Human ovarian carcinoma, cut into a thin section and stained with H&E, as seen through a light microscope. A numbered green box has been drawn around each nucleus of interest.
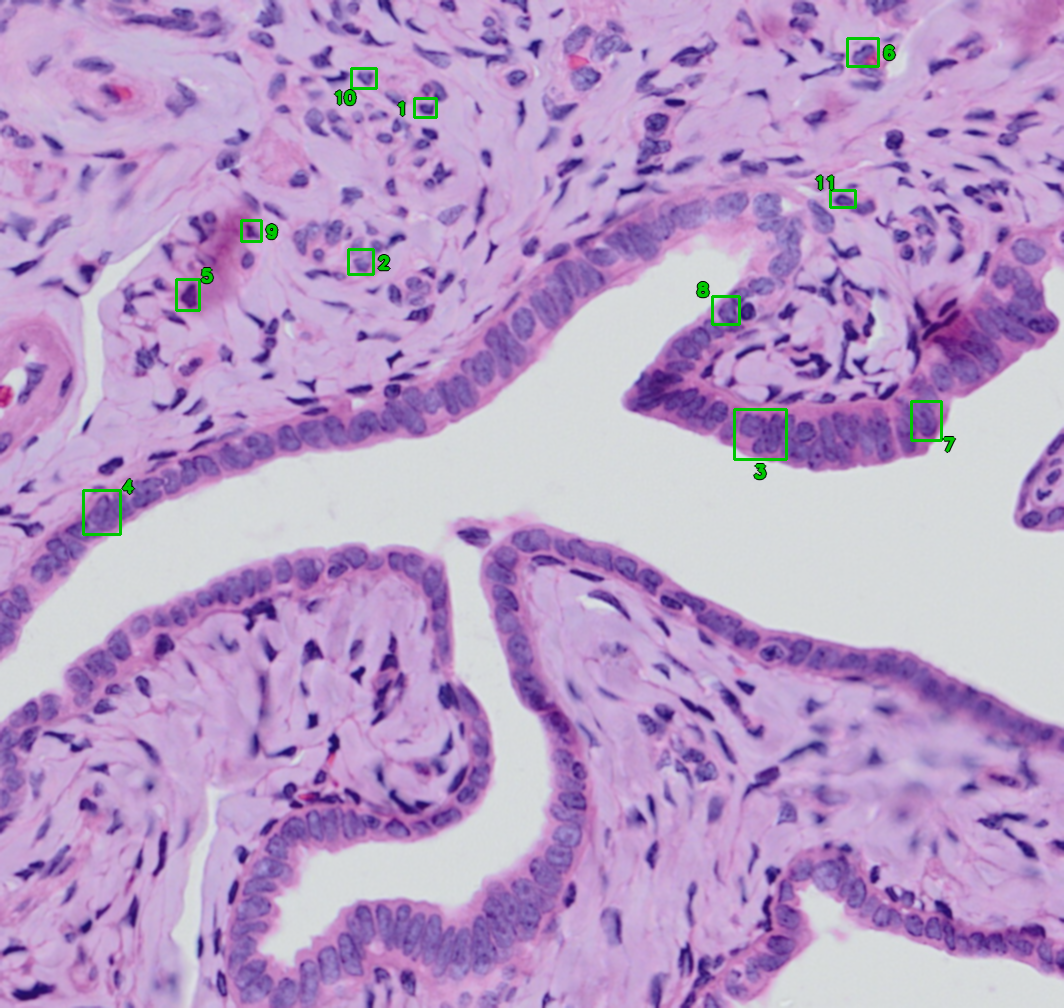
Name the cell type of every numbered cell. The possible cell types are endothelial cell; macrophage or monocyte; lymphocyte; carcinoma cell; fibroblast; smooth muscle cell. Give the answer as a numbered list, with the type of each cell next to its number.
1. smooth muscle cell
2. smooth muscle cell
3. carcinoma cell
4. carcinoma cell
5. smooth muscle cell
6. endothelial cell
7. carcinoma cell
8. carcinoma cell
9. smooth muscle cell
10. smooth muscle cell
11. smooth muscle cell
